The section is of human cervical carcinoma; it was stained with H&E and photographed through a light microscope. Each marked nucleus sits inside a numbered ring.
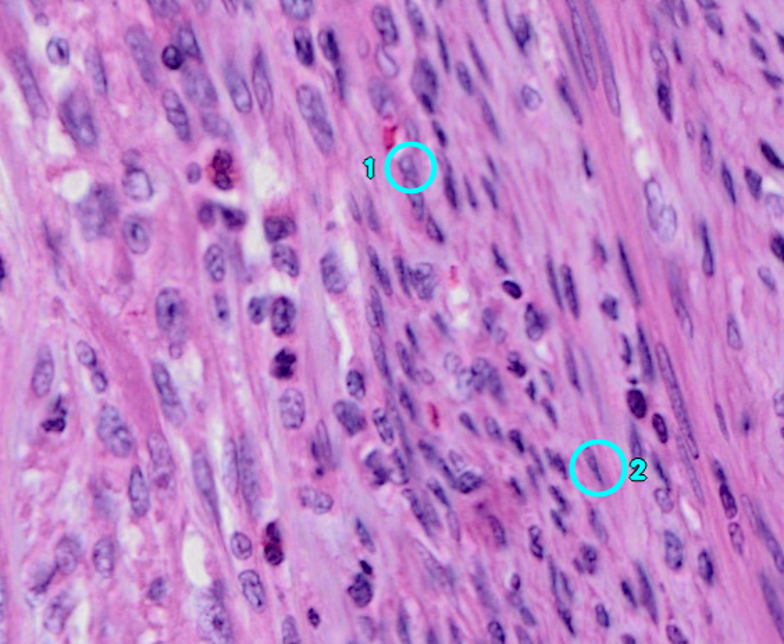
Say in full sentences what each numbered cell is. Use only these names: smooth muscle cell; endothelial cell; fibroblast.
Cell 1 is an endothelial cell. Cell 2 is a smooth muscle cell.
